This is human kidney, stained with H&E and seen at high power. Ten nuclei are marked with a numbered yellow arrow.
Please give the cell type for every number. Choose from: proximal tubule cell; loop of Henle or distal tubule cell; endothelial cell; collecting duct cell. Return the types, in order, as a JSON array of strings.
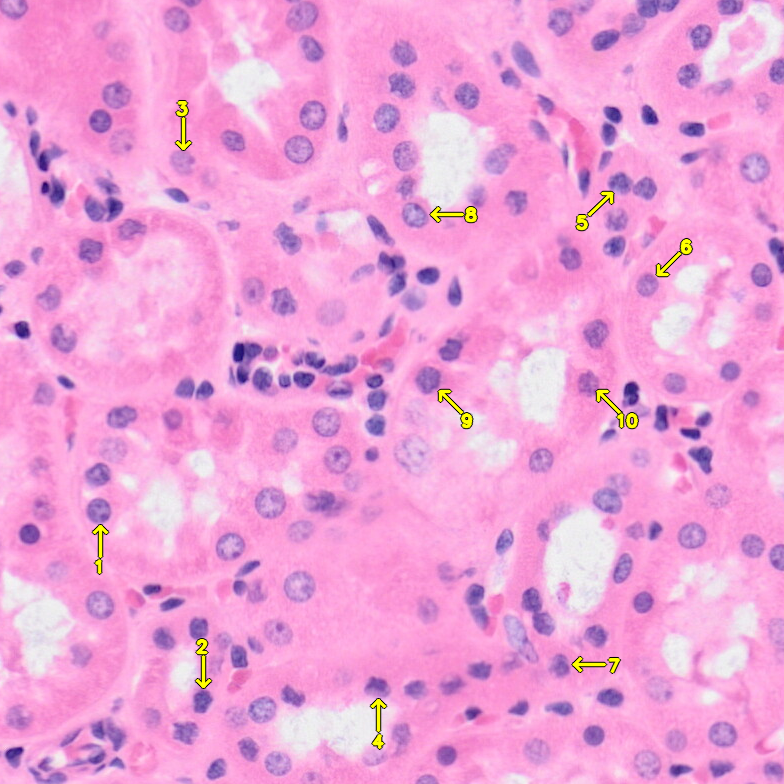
["proximal tubule cell", "loop of Henle or distal tubule cell", "proximal tubule cell", "loop of Henle or distal tubule cell", "loop of Henle or distal tubule cell", "proximal tubule cell", "loop of Henle or distal tubule cell", "loop of Henle or distal tubule cell", "proximal tubule cell", "proximal tubule cell"]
